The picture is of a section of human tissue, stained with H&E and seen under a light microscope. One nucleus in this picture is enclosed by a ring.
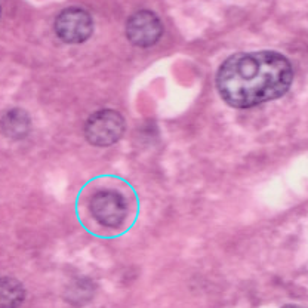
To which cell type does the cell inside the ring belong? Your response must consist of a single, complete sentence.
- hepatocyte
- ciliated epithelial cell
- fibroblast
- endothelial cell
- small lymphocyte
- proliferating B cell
As for its identity, the cell inside the ring is a hepatocyte.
